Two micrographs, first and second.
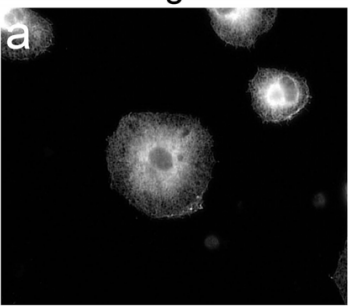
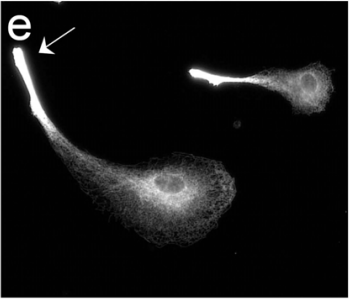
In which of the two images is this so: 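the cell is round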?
The first image.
